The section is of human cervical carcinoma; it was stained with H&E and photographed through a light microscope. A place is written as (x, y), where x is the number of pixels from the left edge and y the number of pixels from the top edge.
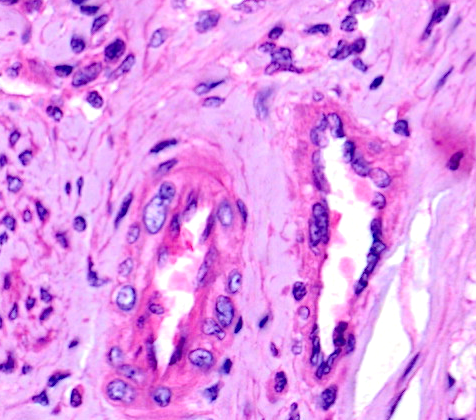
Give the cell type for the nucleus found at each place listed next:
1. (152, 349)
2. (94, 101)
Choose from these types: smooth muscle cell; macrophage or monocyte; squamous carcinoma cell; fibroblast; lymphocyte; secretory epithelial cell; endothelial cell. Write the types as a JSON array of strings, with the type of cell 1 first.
["endothelial cell", "lymphocyte"]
